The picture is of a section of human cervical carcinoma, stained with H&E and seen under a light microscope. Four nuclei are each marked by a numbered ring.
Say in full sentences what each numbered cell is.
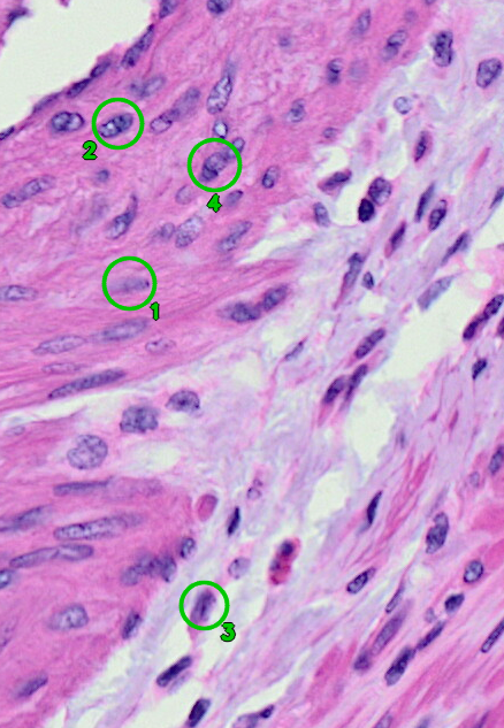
Cells 1, 2 and 4 are smooth muscle cells. Cell 3 is a macrophage or monocyte.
